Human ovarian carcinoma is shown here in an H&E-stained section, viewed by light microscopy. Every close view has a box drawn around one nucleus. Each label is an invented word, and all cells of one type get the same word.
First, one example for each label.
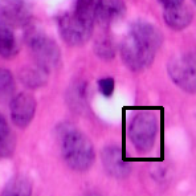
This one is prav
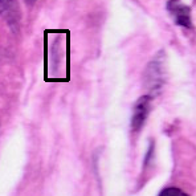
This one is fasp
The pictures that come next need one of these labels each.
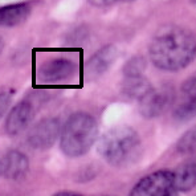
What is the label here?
prav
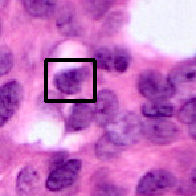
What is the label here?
prav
